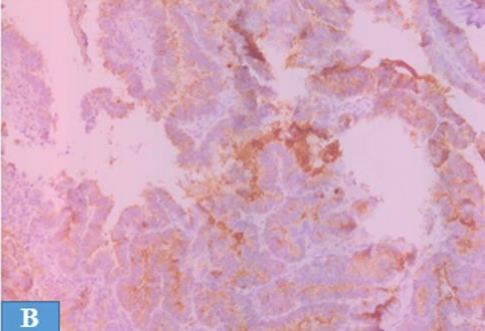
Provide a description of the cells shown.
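This shows tumour cells forming crowded papillary and glandular structures around spaces. The brown stain lies diffusely in the cytoplasm of the lining cells and is patchy, with stronger brown areas along some luminal borders and in material within the spaces. The nuclei are blue and not brown.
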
